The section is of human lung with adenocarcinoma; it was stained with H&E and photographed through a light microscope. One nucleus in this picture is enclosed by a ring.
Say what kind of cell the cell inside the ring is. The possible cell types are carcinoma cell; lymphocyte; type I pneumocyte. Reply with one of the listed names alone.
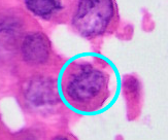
carcinoma cell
